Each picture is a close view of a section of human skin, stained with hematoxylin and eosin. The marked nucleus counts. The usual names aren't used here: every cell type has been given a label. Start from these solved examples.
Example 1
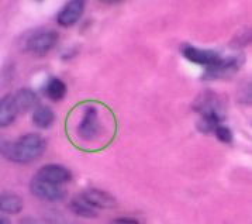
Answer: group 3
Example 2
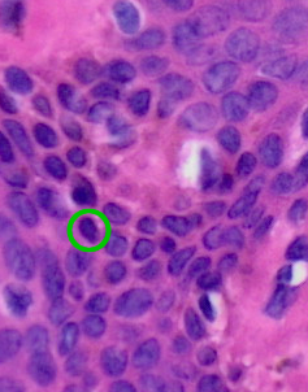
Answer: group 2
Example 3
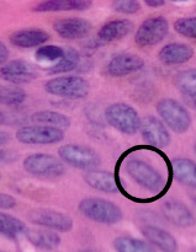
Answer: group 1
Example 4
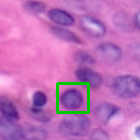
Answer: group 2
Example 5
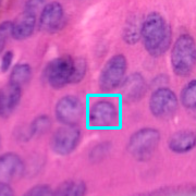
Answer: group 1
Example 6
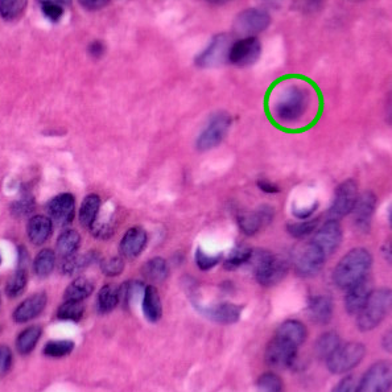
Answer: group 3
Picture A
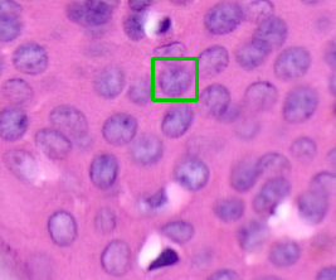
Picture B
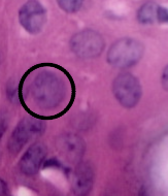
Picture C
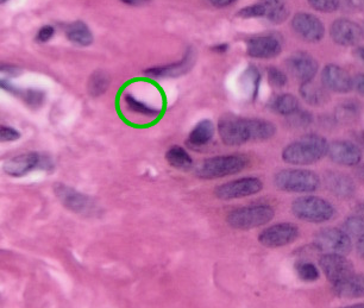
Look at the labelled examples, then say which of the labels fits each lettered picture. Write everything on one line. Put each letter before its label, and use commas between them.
A group 1, B group 1, C group 3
